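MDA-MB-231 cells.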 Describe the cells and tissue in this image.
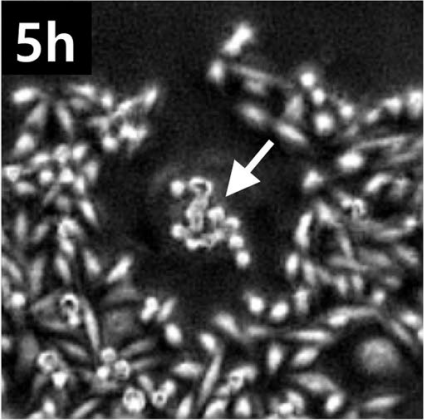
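A dense lawn of cultured cells, many elongated and spindle-shaped and others small, bright and rounded, surrounds a large dark, flat, cell-free-looking area in the centre. In the middle of this dark area a compact cluster of small bright cells lies, pointed at by the arrow.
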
